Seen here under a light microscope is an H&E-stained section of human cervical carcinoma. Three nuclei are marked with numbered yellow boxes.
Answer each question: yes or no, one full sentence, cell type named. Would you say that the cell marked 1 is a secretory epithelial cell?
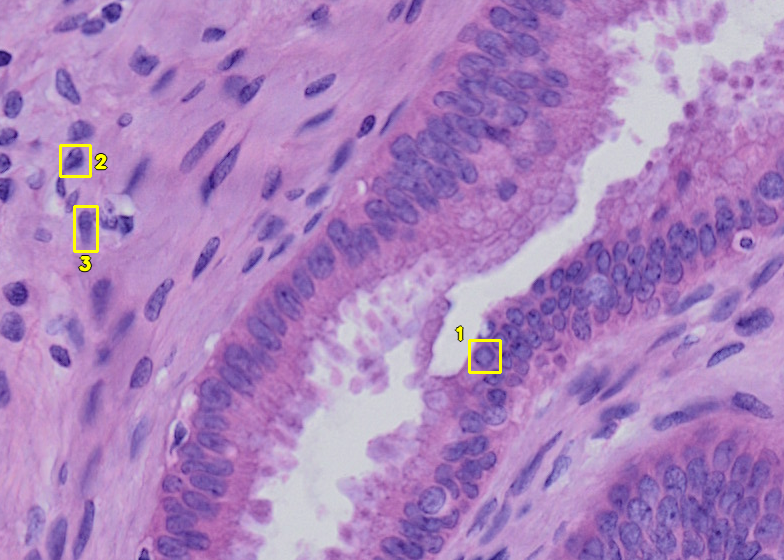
Yes, what number 1 marks is a secretory epithelial cell.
